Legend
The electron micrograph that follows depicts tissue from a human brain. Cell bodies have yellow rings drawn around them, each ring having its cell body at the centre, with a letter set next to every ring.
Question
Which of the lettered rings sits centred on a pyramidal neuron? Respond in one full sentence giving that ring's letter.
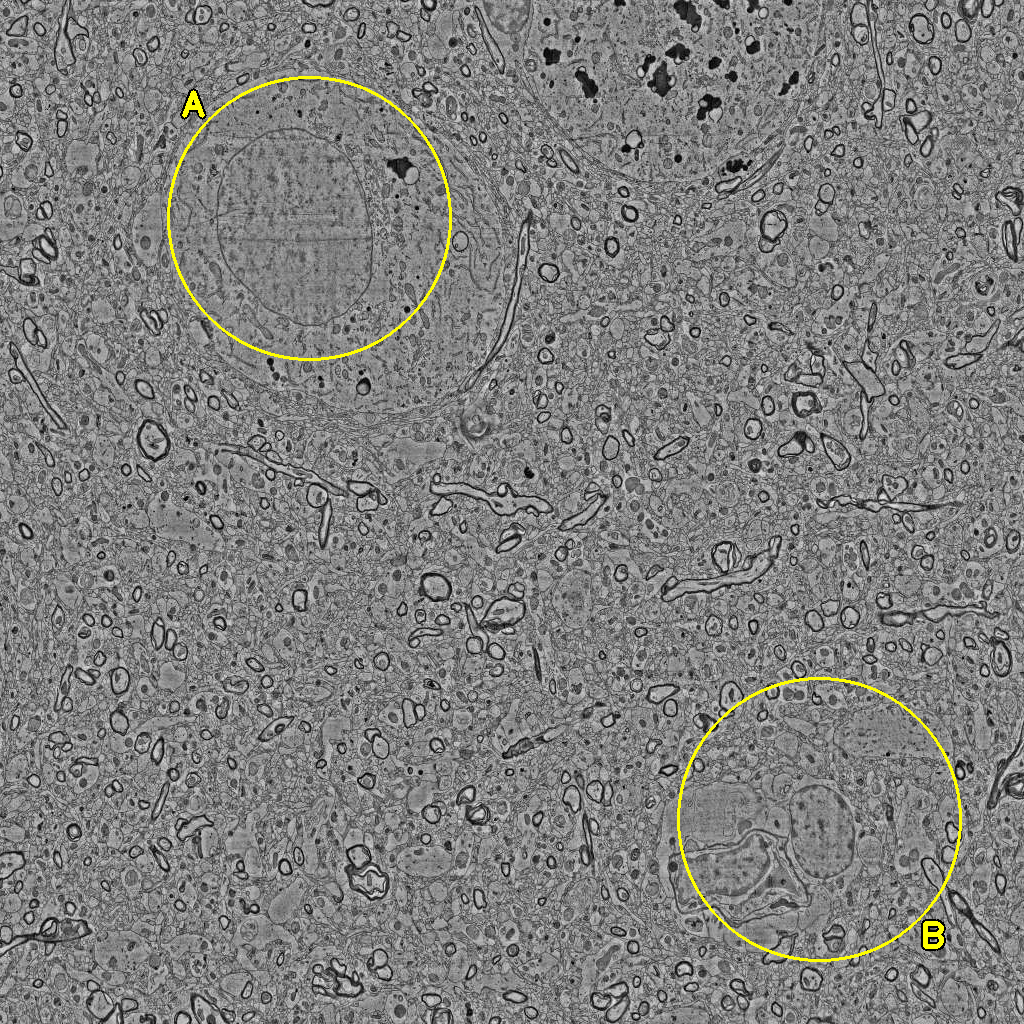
The letter A belongs to the ring centred on the cell asked about in the micrograph.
